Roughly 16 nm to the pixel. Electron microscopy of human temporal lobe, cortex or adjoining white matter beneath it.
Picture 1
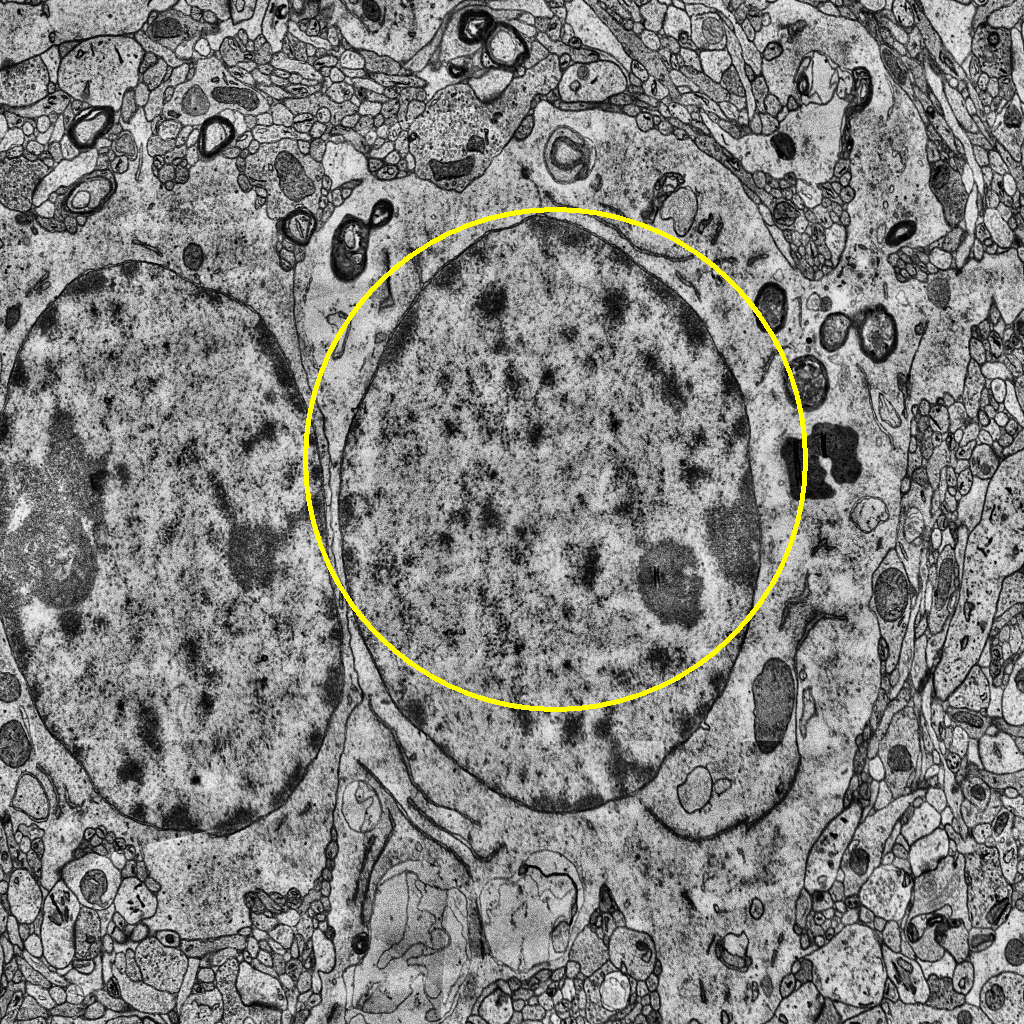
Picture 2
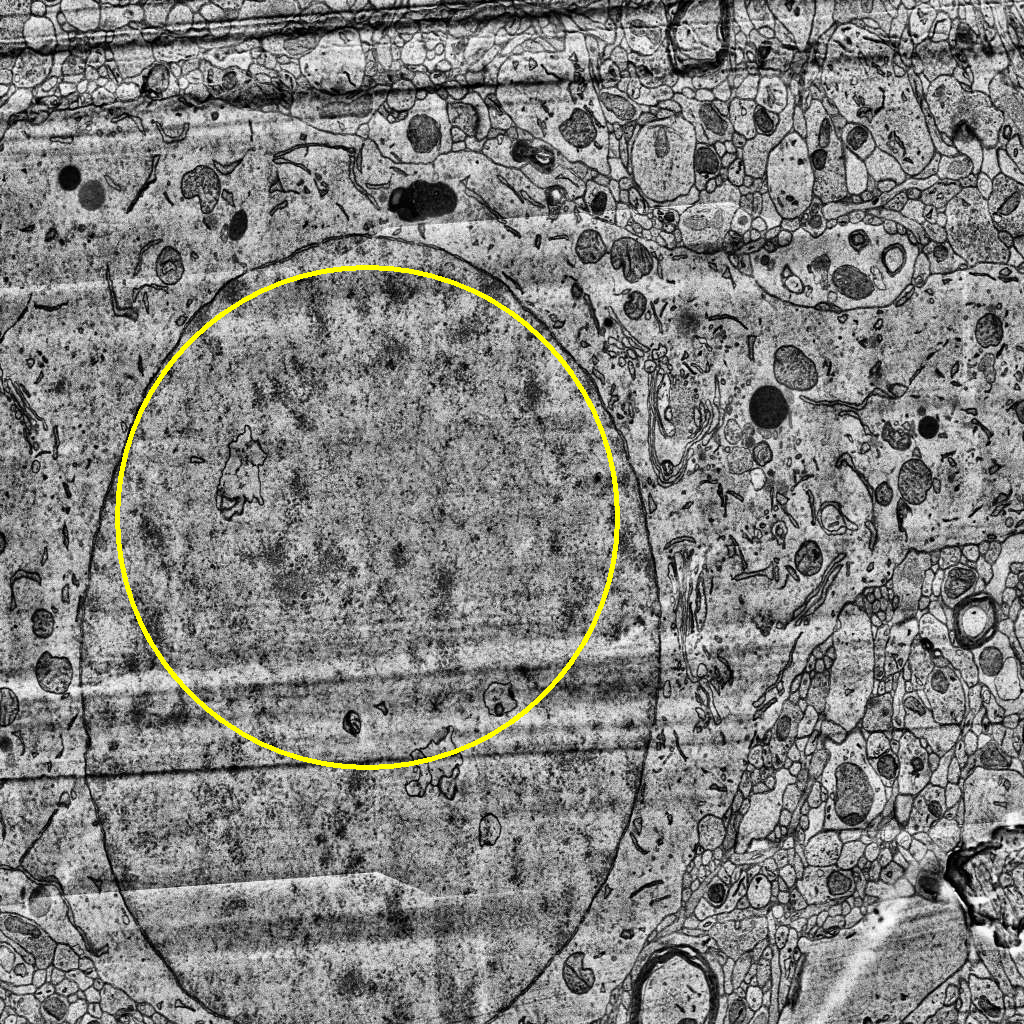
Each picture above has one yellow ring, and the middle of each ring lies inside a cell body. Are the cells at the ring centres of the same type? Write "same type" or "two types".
two types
